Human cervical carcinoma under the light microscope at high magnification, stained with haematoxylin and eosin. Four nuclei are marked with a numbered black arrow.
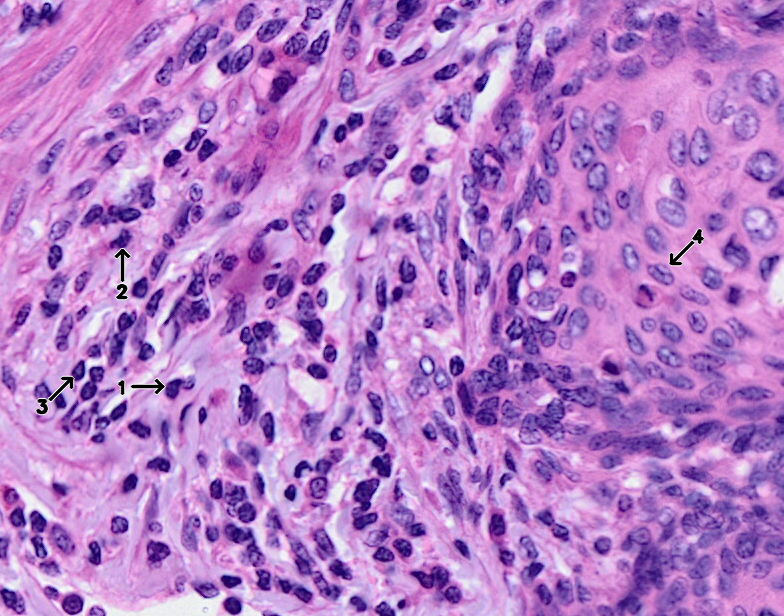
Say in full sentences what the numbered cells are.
Cell 1 is a lymphocyte, cell 2 is a lymphocyte, cell 3 is a lymphocyte and cell 4 is a squamous carcinoma cell.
